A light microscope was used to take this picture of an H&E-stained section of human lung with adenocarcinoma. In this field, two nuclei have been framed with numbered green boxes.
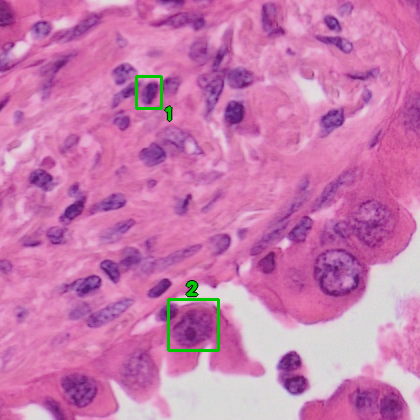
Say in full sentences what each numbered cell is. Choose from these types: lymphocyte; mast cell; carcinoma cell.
Cell 1 is a lymphocyte. Cell 2 is a carcinoma cell.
